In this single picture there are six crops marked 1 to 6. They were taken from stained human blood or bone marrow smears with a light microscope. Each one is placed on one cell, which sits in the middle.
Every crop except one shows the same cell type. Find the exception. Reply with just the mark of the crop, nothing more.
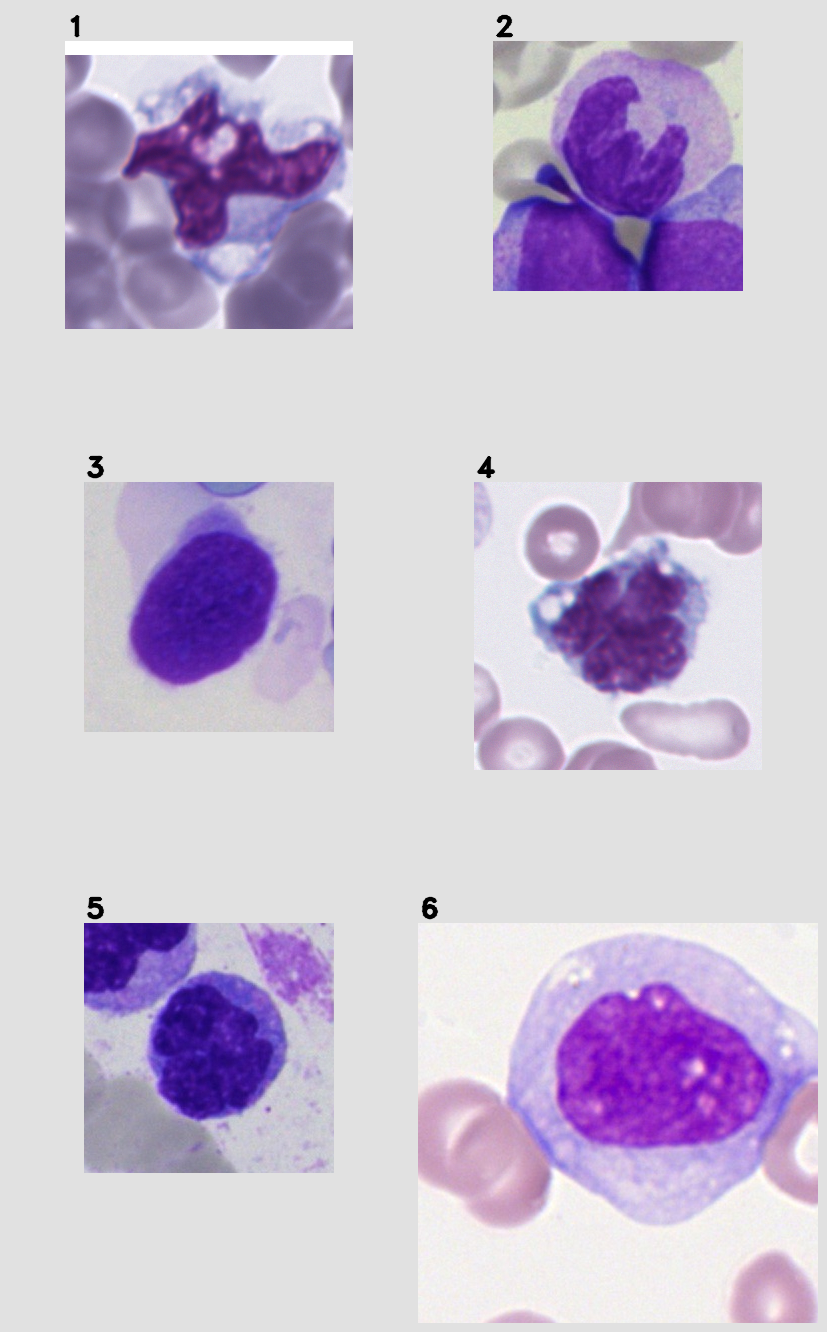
3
